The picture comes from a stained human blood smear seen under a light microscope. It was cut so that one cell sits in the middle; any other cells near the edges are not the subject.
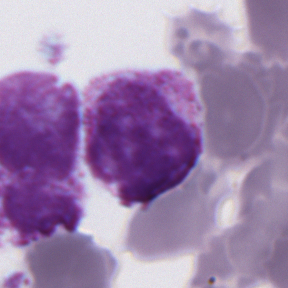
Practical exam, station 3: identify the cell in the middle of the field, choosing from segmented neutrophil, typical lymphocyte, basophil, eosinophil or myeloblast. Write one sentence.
As for the cell in the middle, it is a basophil.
